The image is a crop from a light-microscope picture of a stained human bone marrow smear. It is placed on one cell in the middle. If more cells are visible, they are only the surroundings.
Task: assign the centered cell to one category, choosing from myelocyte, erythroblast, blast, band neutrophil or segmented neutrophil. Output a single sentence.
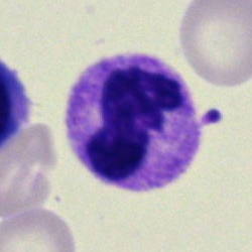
Answering briefly, the cell in the middle is a segmented neutrophil.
